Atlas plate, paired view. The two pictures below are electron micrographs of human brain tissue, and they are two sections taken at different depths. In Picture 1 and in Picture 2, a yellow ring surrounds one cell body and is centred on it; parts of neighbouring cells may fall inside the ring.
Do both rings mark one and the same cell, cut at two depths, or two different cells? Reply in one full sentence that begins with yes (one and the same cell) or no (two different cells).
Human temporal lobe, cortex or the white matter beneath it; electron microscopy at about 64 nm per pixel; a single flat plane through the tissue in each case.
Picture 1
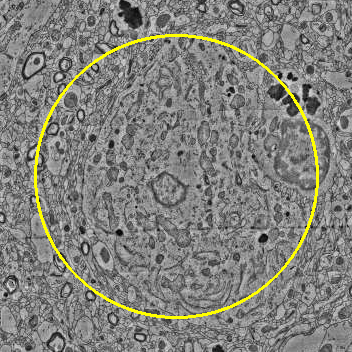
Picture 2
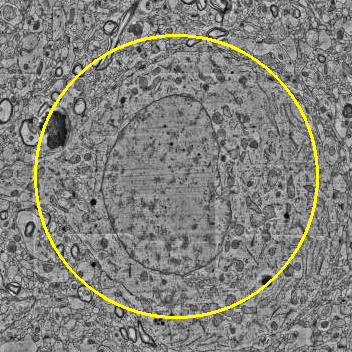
Yes, the cell marked in each ring is one and the same.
